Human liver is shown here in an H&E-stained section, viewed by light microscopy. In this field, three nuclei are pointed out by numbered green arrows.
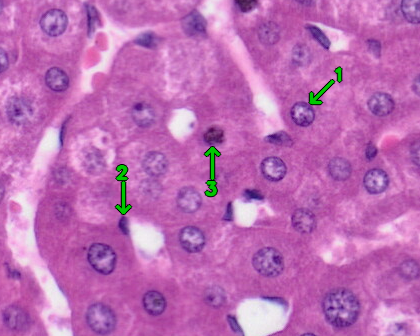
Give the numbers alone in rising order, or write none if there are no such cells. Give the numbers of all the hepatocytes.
1, 3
